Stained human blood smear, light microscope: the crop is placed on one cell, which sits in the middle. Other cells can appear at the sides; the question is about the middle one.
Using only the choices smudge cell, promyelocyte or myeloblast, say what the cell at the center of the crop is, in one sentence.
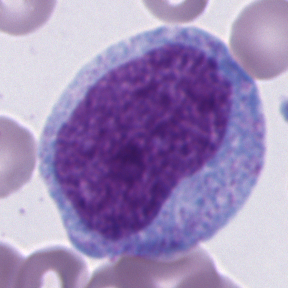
This particular crop is centered on a promyelocyte.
